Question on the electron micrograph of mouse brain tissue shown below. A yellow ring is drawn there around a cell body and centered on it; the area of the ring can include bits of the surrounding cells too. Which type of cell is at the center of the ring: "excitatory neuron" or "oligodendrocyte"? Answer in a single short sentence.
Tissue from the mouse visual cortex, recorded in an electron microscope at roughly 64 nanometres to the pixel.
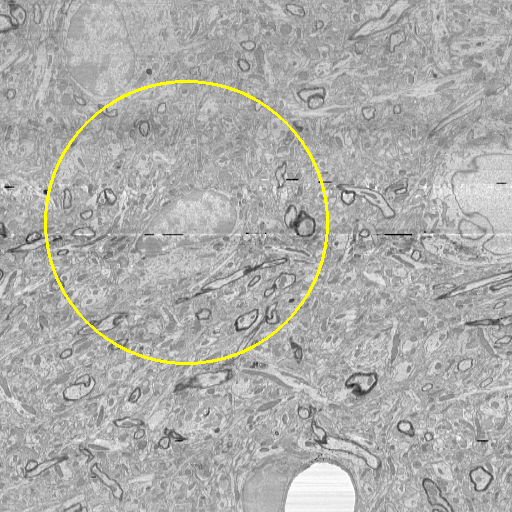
The ring is centered on an oligodendrocyte.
